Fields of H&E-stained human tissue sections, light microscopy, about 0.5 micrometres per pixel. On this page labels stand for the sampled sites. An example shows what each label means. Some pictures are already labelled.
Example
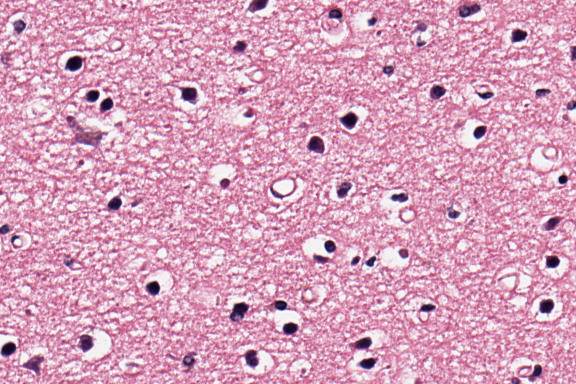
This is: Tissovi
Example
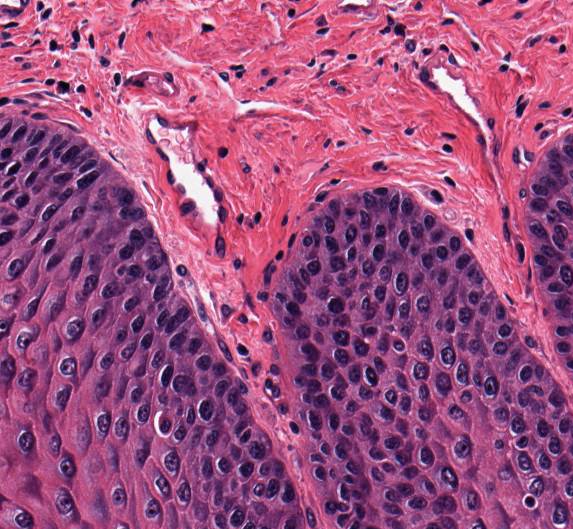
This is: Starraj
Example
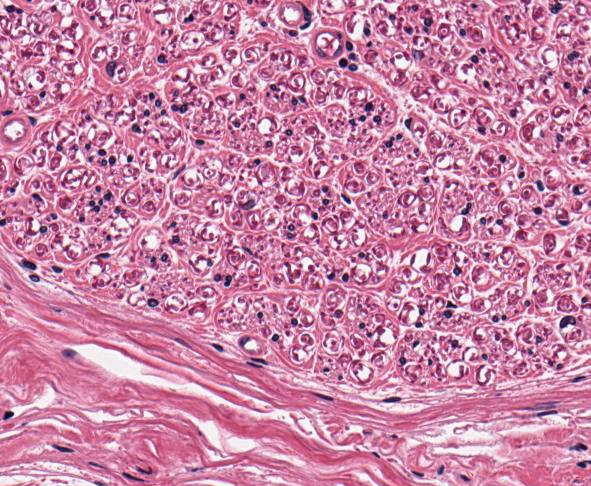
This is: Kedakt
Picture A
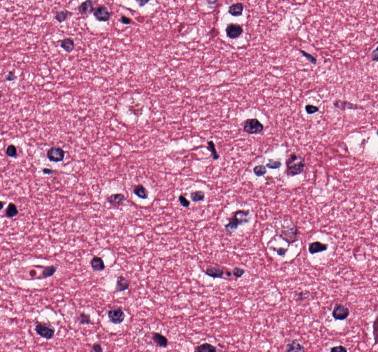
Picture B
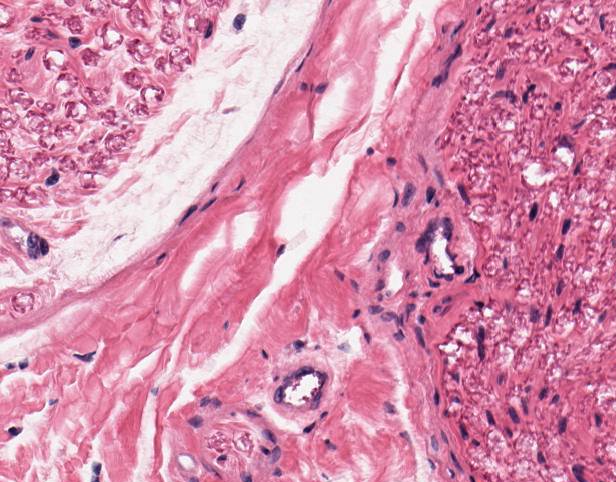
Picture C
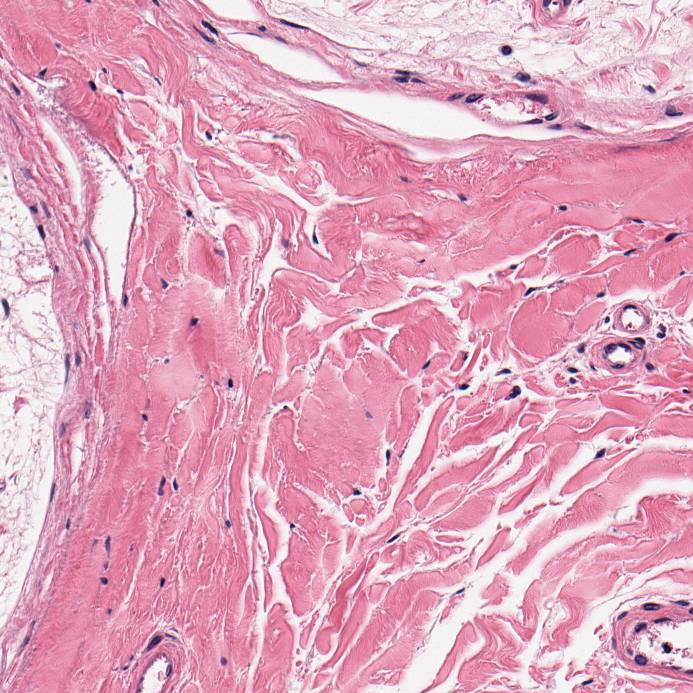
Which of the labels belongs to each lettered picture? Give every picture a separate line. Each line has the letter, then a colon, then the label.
A: Tissovi
B: Kedakt
C: Kedakt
